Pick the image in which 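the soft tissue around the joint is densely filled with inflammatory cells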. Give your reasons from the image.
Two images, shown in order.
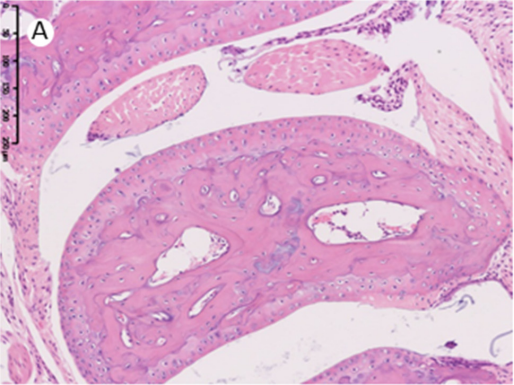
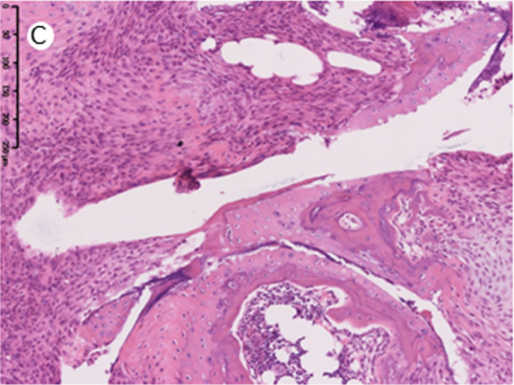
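The second image. Second image: sheets of densely packed cells with dark nuclei fill the tissue beside the joint. First image: the tissue around the bone is loose and sparsely cellular, with muscle bundles and a clear joint space.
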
